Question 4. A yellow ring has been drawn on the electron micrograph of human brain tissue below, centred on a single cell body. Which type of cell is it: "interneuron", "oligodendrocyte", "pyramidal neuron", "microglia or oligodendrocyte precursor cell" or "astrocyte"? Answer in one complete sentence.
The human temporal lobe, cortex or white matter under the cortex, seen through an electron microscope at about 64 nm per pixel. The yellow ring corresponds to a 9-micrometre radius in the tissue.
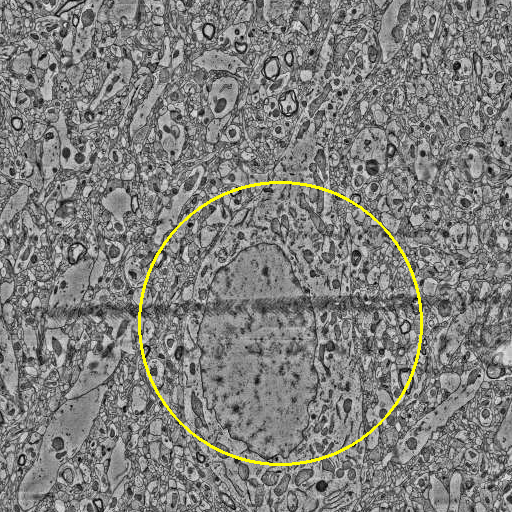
This cell body belongs to an interneuron.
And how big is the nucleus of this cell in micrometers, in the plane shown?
About 14 by 8 micrometres, the nucleus being clearly longer than it is wide in this plane.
